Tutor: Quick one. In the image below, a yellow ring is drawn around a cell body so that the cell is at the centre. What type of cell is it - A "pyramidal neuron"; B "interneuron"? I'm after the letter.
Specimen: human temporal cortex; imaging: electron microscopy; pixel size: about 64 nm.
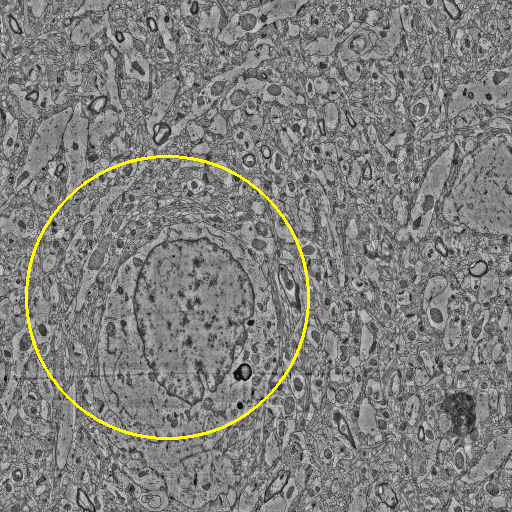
A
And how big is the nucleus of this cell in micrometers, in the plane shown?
In this plane, the nucleus of the cell at the centre of the ring measures about 11 by 8 micrometres.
